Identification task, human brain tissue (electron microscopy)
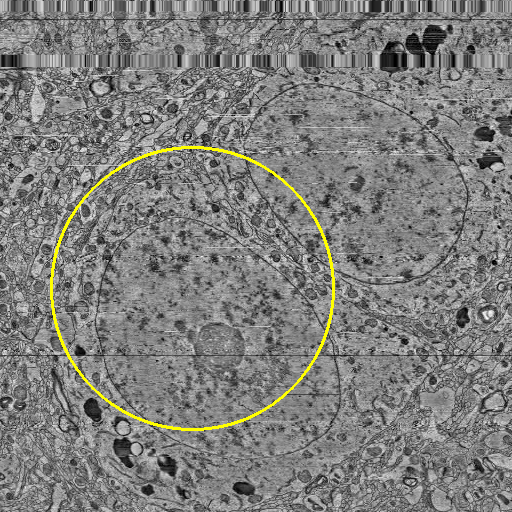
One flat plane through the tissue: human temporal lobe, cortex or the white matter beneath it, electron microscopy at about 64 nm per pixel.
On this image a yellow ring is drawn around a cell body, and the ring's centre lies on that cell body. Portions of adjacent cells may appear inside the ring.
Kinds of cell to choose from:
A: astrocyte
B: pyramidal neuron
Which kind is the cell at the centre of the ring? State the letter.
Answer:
B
